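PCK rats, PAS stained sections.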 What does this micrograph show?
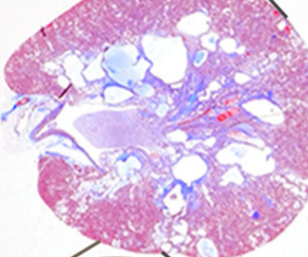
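This is a low-magnification section through a whole kidney. It is pink-stained and riddled with numerous rounded, empty cysts of varying size, gathered mostly in the central region. The cysts are set among pink, densely packed tubular tissue that forms a broad outer rim, and patches of blue-stained material lie around the central cavity and between the cysts.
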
